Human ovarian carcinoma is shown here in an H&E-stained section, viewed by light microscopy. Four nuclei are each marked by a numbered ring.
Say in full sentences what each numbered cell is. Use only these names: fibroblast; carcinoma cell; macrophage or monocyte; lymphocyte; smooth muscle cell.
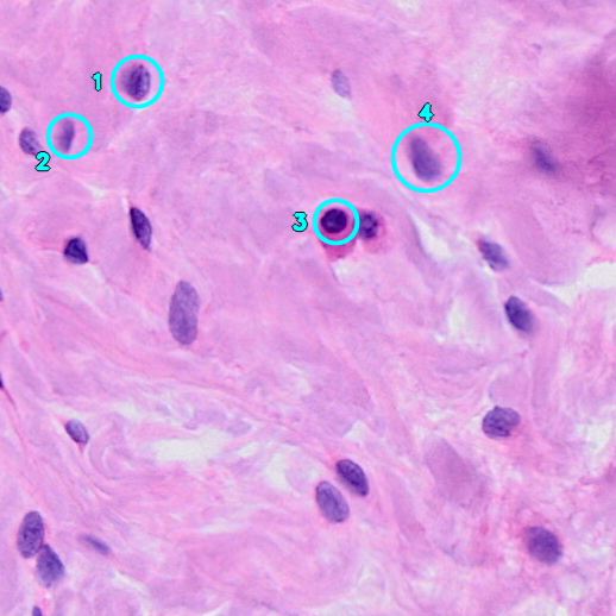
Cell 1 is a fibroblast, cell 2 is a fibroblast, cell 3 is a lymphocyte and cell 4 is a fibroblast.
